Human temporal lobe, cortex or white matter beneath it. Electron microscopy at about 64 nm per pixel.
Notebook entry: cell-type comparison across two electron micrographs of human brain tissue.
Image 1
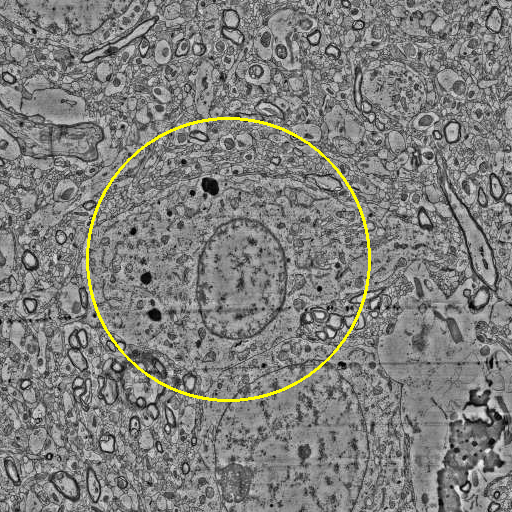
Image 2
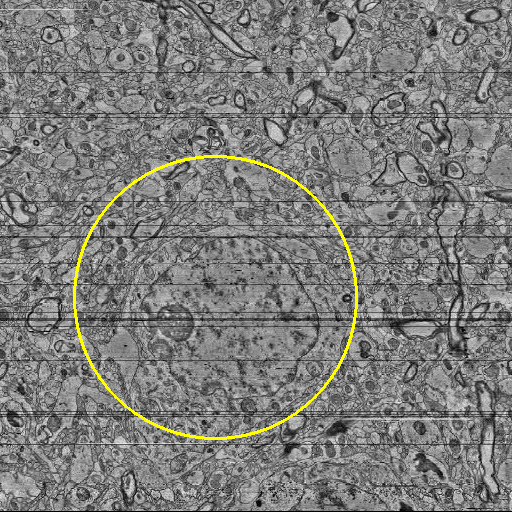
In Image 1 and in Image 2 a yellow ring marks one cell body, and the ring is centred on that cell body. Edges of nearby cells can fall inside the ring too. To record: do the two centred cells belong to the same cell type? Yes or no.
yes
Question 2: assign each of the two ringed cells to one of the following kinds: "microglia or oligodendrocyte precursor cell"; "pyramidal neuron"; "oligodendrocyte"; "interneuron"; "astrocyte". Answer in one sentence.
The second cell is a pyramidal neuron, just as the first is.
